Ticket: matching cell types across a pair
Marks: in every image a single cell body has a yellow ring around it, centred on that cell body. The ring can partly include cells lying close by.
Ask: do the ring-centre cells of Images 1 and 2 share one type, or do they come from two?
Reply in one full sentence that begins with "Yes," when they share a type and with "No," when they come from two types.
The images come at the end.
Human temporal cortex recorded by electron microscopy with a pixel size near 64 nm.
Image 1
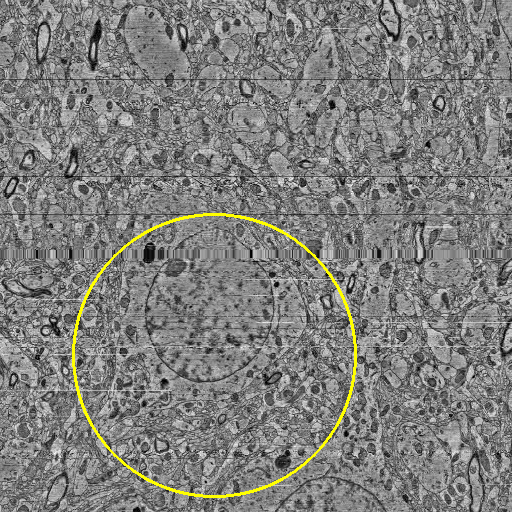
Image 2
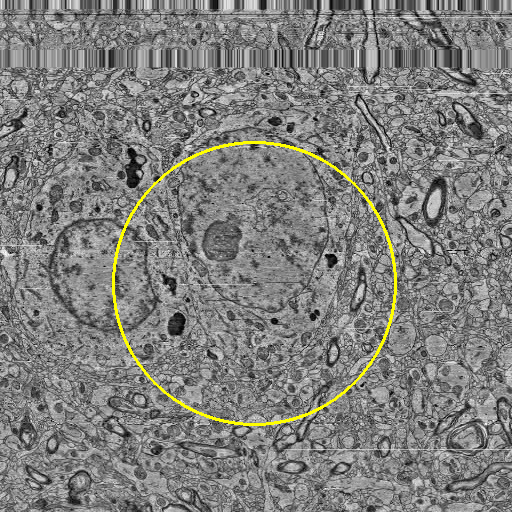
Yes, the cells in the centres of the rings in Image 1 and Image 2 share one type.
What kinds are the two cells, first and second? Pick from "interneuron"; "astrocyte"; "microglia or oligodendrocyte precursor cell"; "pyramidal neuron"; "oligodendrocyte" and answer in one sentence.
Each of the ringed cells, first and second, is a pyramidal neuron.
